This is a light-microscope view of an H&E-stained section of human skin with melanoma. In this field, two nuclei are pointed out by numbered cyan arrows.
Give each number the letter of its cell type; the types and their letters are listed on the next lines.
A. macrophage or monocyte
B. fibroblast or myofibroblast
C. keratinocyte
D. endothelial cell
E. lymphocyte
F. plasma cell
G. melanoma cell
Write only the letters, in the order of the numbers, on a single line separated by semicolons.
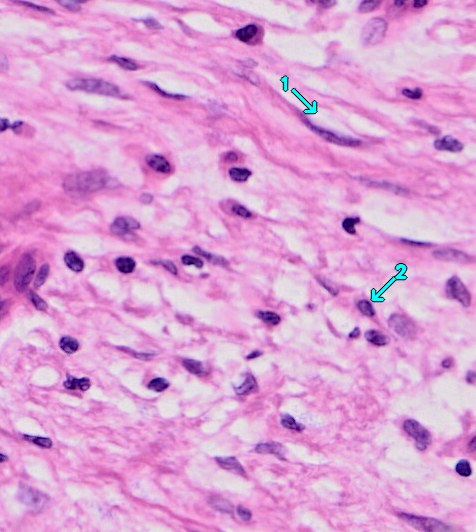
B; A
